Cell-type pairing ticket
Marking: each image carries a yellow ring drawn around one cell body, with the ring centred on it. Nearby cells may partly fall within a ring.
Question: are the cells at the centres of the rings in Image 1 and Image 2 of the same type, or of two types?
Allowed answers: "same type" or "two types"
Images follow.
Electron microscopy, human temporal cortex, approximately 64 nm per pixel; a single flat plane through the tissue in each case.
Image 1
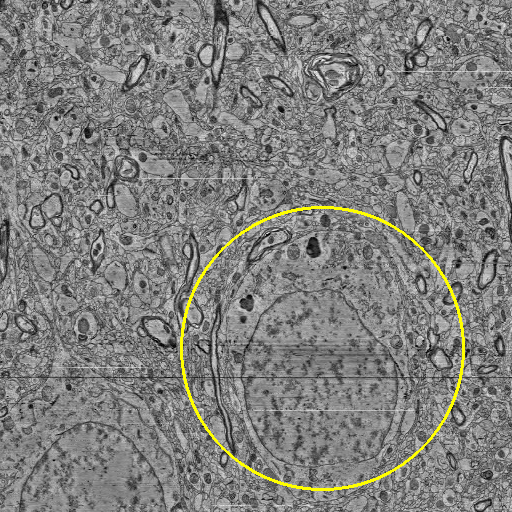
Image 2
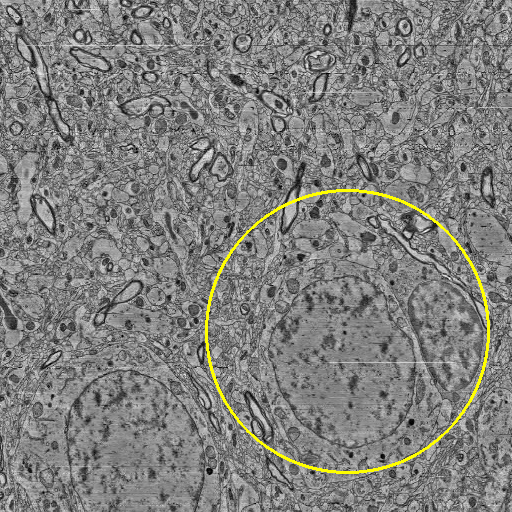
same type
